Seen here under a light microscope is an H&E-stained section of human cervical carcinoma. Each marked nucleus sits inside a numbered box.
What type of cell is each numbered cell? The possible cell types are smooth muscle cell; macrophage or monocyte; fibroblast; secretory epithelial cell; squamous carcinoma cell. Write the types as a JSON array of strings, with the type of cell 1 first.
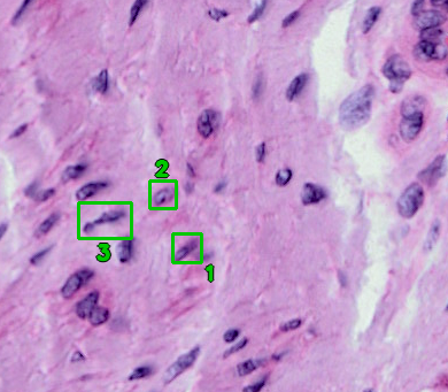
["smooth muscle cell", "smooth muscle cell", "fibroblast"]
